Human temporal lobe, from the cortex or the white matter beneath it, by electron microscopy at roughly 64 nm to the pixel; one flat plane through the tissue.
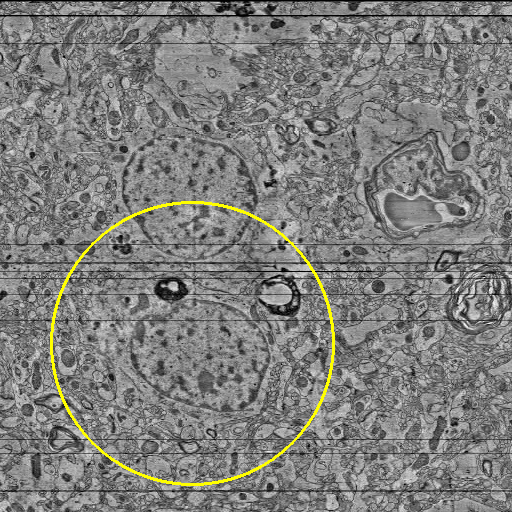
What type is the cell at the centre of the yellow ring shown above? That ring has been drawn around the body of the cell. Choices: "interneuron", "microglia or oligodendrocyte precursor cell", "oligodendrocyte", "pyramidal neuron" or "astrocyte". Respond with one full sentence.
My answer is that an astrocyte lies at the centre of the yellow ring above.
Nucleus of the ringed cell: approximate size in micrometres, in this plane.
About 9 by 7 micrometers, in this plane.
